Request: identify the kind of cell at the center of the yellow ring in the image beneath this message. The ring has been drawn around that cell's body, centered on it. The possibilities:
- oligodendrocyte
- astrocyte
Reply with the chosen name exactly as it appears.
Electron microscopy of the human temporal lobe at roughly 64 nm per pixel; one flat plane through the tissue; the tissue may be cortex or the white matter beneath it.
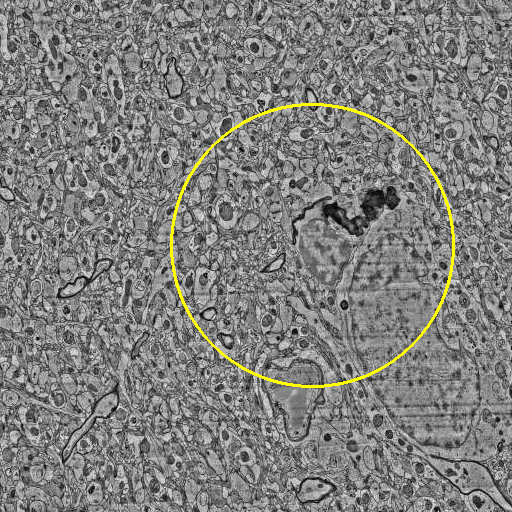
oligodendrocyte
